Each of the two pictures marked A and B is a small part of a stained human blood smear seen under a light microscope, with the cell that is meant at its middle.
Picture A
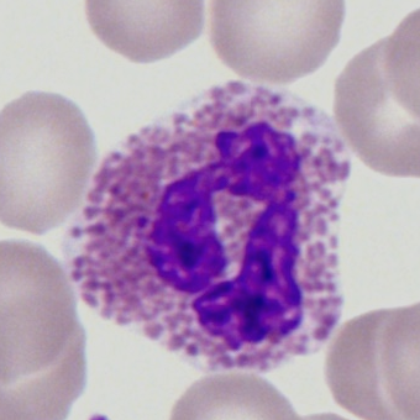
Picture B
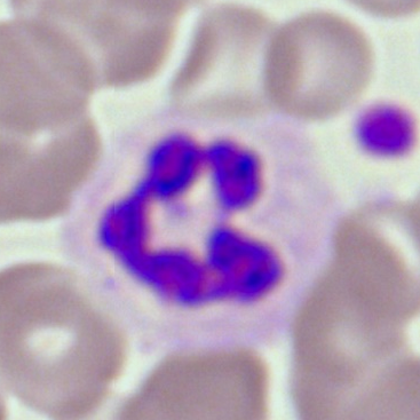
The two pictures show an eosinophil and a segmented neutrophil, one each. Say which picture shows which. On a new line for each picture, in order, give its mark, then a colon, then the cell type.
A: eosinophil
B: segmented neutrophil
